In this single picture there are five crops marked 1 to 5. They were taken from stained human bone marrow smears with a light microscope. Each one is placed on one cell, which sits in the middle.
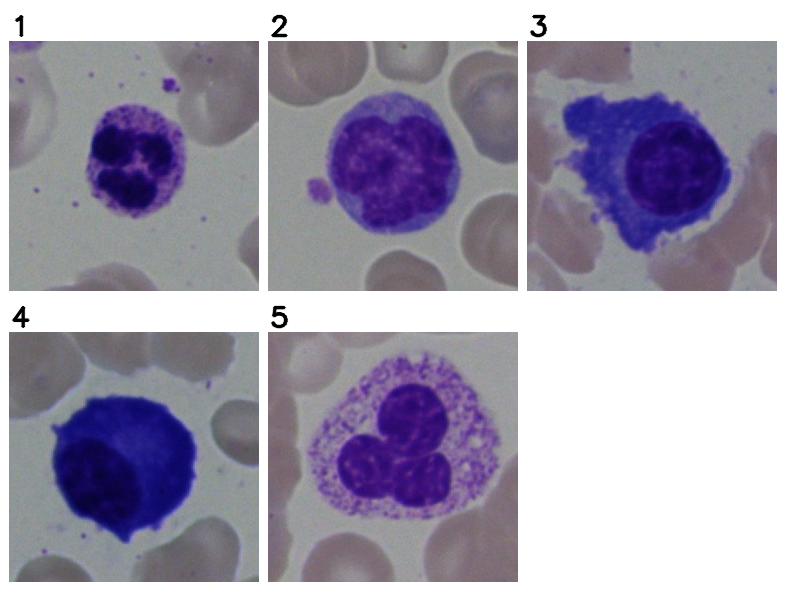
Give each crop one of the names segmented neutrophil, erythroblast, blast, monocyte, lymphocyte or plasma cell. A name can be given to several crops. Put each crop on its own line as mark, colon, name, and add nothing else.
1: segmented neutrophil
2: monocyte
3: plasma cell
4: plasma cell
5: segmented neutrophil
